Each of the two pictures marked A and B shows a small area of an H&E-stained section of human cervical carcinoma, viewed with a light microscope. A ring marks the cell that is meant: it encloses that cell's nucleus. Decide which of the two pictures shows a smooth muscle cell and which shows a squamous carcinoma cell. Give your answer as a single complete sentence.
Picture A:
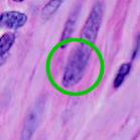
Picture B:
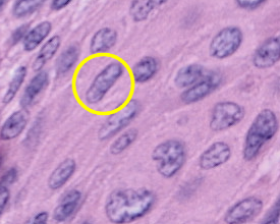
Picture B shows a squamous carcinoma cell, while picture A shows a smooth muscle cell.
